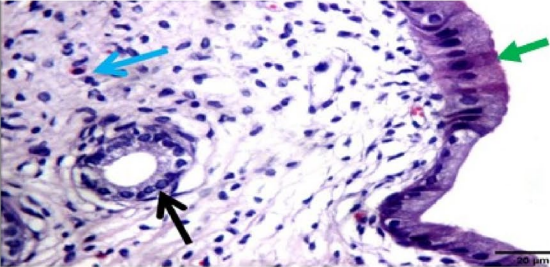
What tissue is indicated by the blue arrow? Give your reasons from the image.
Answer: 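Scattered oval and spindle nuclei in a pale pink loose background. No glands or lining at the arrow tip. So: cellular stroma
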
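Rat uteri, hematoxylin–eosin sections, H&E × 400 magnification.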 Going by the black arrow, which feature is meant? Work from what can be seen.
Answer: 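A round tubule with a central clear lumen. The lumen is lined by one layer of cuboidal cells. It lies within loose stroma. On this evidence: endometrial gland.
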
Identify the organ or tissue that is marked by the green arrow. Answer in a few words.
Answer: Surface epithelium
